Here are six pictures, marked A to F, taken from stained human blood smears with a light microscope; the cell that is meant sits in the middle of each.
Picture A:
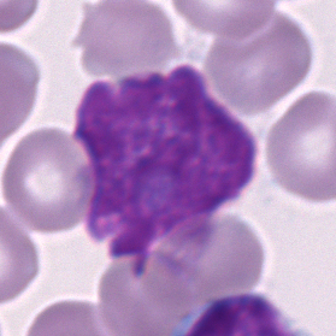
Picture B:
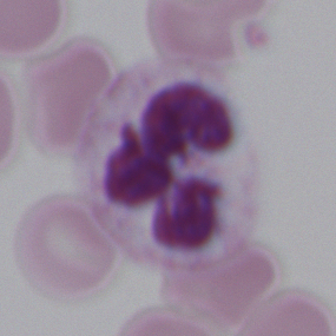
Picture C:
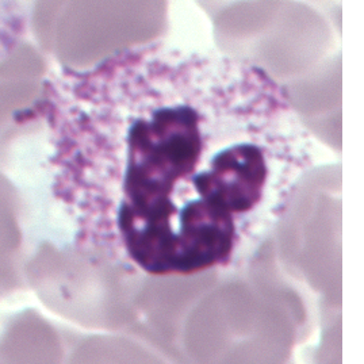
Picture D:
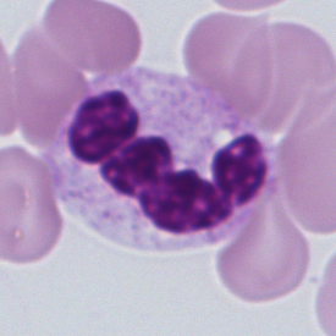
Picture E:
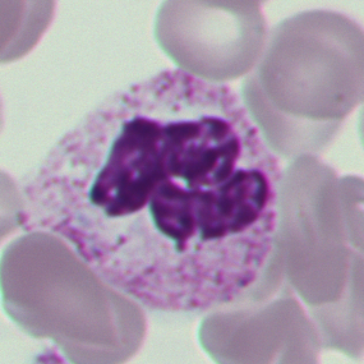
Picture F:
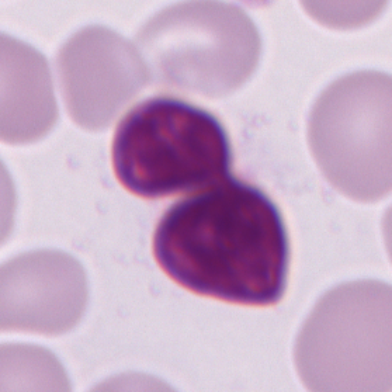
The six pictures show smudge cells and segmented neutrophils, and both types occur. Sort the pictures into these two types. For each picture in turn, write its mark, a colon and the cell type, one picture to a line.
A: smudge cell
B: segmented neutrophil
C: segmented neutrophil
D: segmented neutrophil
E: segmented neutrophil
F: smudge cell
